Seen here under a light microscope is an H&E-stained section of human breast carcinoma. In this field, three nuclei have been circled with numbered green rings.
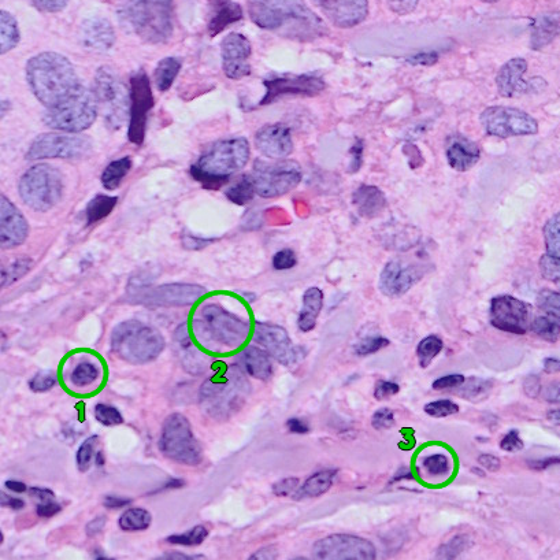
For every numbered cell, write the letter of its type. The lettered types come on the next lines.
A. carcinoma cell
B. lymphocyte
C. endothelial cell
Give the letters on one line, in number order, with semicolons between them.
B; A; B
